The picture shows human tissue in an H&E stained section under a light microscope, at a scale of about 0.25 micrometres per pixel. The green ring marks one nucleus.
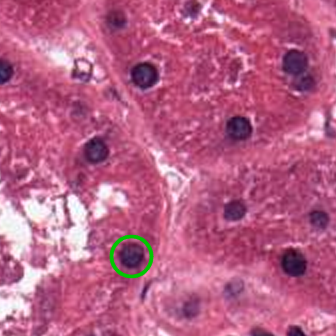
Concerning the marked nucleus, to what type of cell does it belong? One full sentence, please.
The nucleus marked in this picture belongs to a proximal tubule cell.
